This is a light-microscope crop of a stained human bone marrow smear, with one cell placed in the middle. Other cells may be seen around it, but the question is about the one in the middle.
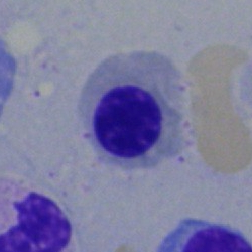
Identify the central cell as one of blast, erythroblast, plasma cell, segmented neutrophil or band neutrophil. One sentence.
In the middle of this smear crop is an erythroblast.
